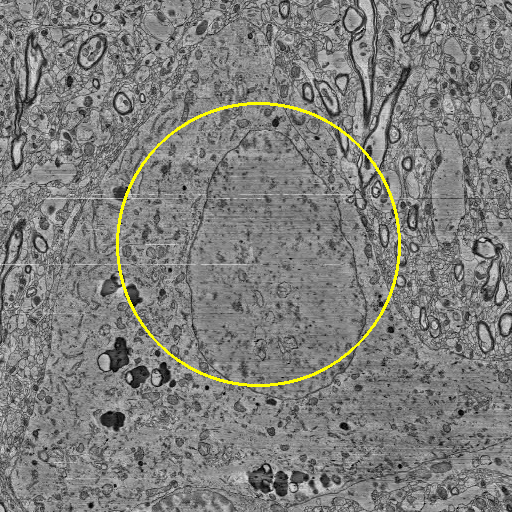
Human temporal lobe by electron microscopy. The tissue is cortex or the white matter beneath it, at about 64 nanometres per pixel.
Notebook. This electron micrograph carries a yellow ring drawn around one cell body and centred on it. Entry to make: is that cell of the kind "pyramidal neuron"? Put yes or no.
yes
